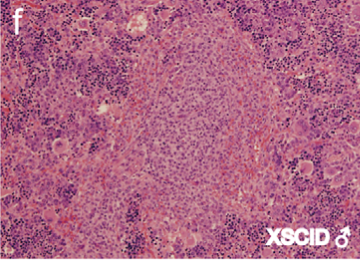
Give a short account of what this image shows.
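Spleen in which the white pulp is virtually devoid of lymphocytes. A central pale pink area consists of loosely arranged cells with pale nuclei and eosinophilic cytoplasm, without the dense packing of small dark nuclei. Around it the red pulp holds a mixture of cells, many with dark, irregular or clumped nuclei, and some larger cells with abundant pink cytoplasm.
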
